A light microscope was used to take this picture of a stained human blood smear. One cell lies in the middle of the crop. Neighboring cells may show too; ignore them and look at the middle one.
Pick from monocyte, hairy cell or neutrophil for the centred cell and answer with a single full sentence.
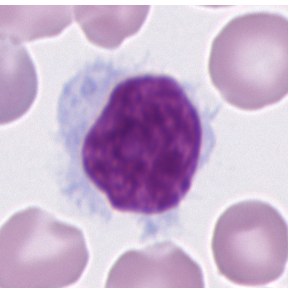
The cell in the middle of the field of view is a hairy cell.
